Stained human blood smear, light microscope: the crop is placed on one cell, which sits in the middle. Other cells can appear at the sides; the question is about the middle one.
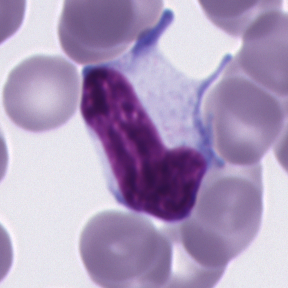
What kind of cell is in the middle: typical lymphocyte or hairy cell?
typical lymphocyte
